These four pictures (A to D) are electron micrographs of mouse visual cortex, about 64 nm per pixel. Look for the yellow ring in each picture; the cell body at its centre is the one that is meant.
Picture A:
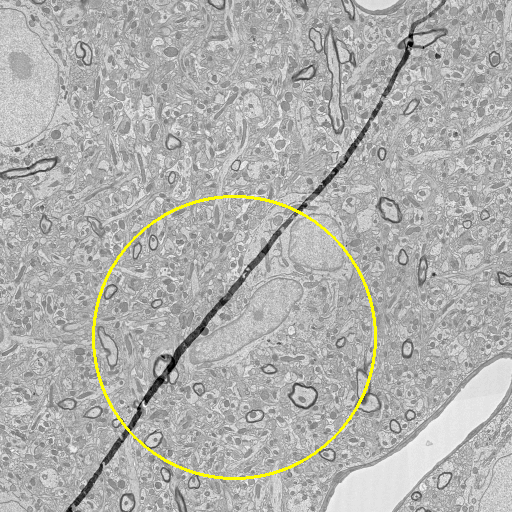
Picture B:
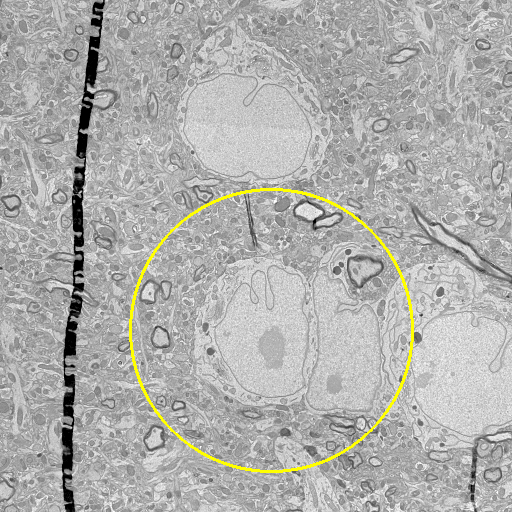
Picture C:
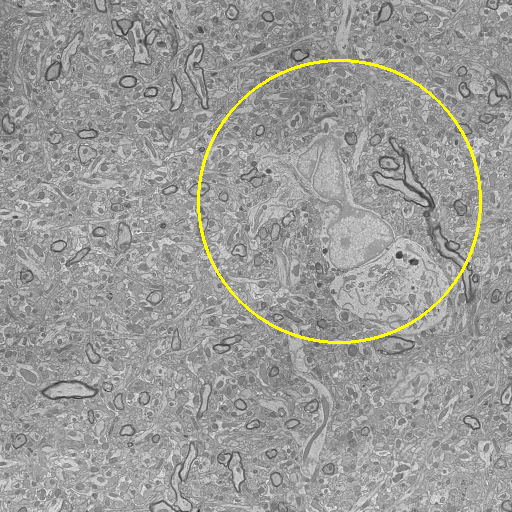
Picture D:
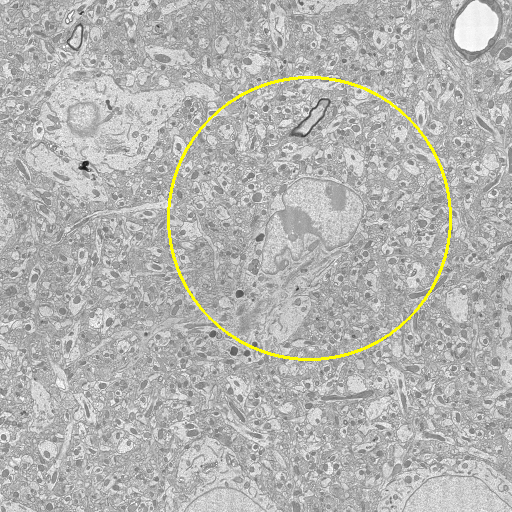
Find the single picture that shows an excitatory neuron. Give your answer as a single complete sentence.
It is picture B that shows the excitatory neuron.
